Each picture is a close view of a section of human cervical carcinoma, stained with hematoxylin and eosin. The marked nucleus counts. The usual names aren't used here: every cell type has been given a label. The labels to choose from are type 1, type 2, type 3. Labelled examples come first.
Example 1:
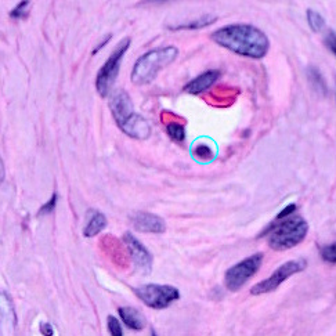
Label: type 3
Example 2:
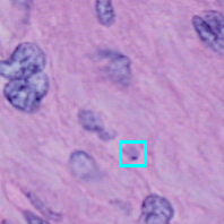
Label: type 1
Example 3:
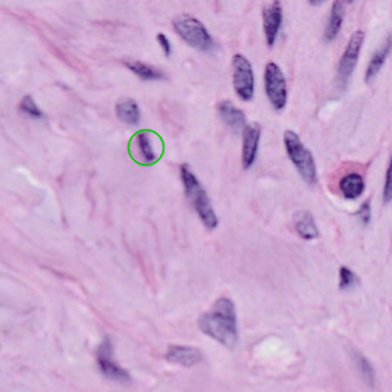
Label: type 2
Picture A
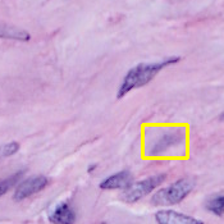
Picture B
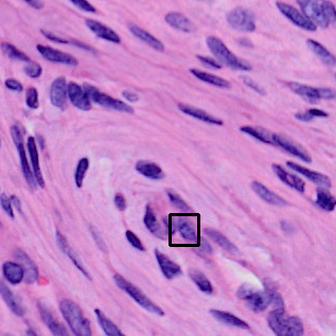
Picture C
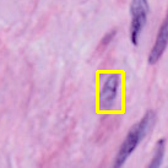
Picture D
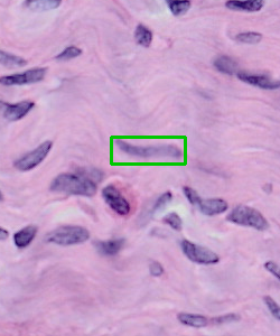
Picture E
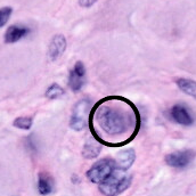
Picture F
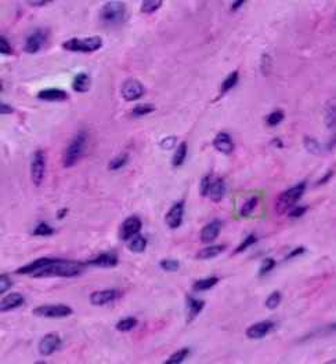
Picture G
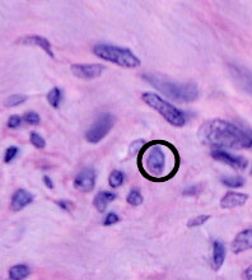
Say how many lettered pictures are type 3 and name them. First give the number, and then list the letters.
2: B, E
